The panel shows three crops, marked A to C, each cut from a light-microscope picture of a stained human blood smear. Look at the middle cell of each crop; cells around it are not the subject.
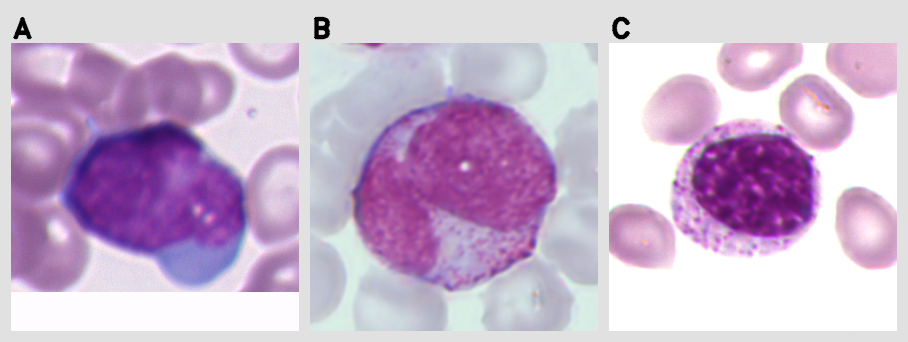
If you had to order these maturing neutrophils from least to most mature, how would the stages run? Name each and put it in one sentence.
Ranked by maturation stage, earliest first, the crops read crop A (a myeloblast), crop B (a promyelocyte) and crop C (a metamyelocyte).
